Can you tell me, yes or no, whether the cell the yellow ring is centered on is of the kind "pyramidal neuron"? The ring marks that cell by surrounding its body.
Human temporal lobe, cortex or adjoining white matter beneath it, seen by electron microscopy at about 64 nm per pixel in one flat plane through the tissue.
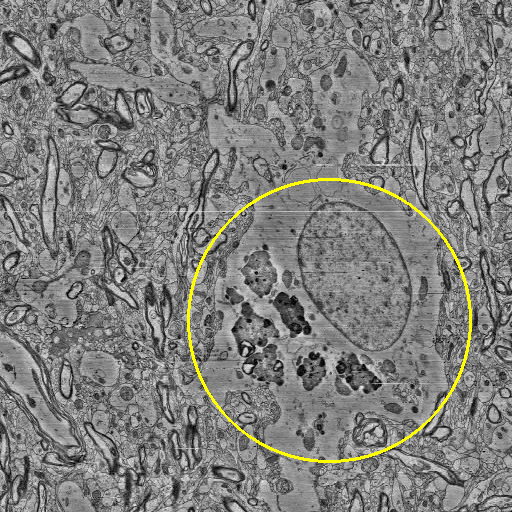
no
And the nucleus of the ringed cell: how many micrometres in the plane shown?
In this plane, approximately 10 by 7 micrometers, and clearly longer than it is wide.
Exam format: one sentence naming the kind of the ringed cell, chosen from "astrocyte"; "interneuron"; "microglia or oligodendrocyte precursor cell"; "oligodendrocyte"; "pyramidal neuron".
Instead, what sits at the centre of the ring is an astrocyte.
